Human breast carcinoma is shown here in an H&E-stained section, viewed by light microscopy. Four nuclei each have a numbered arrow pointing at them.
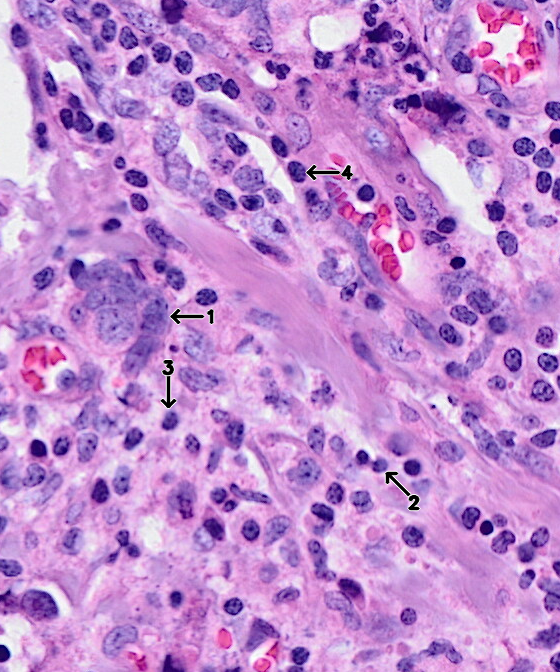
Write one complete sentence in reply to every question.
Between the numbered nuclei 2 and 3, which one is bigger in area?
Nucleus 3 is larger, with an area about 2 times that of nucleus 2.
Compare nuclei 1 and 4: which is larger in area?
Of the two, number 1 is bigger and takes up about 2.5 times the area of number 4.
